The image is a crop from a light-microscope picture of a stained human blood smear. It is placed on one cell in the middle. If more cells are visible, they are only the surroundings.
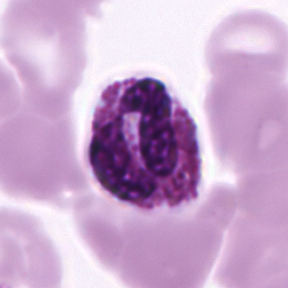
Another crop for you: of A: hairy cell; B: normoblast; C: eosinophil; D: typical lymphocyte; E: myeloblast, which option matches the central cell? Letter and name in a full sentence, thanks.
In the centre of the crop there is an eosinophil, making option C correct.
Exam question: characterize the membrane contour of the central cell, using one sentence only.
Worth noting that the cell border is smooth and lacks projections.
